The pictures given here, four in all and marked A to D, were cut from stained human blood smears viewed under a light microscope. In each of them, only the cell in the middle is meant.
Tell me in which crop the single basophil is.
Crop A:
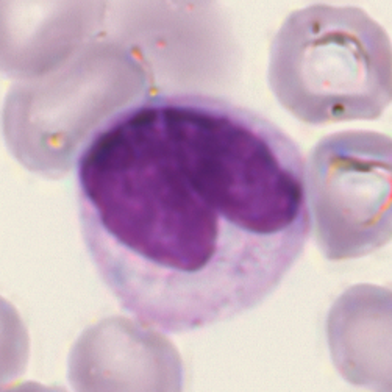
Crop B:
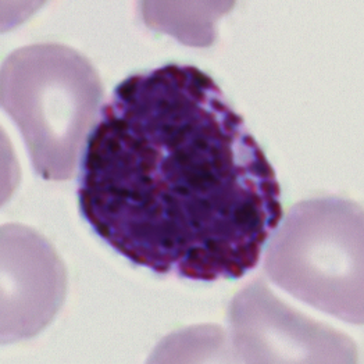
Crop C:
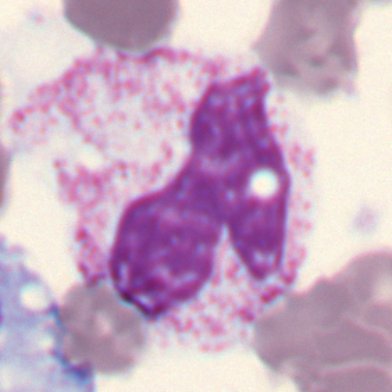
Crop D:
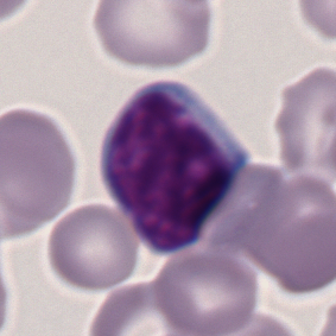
B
